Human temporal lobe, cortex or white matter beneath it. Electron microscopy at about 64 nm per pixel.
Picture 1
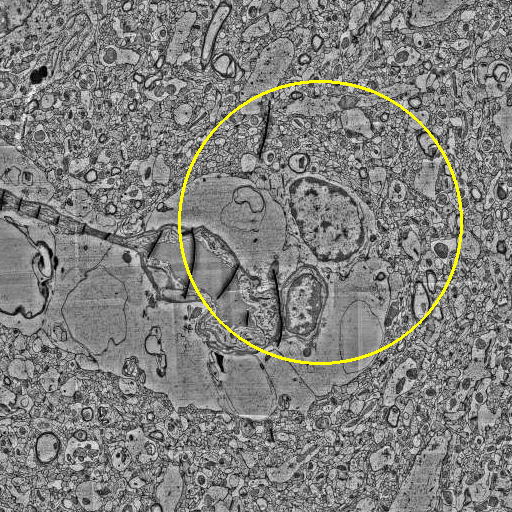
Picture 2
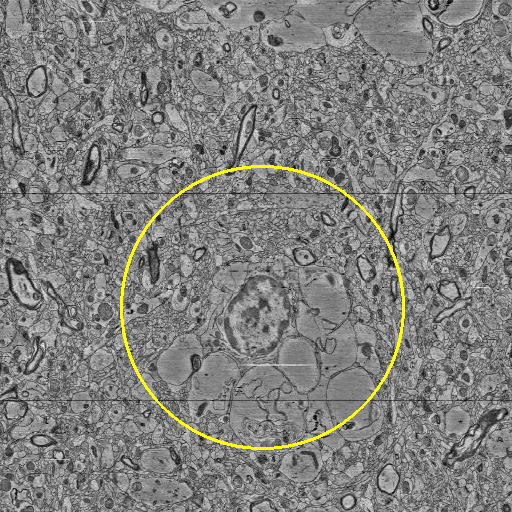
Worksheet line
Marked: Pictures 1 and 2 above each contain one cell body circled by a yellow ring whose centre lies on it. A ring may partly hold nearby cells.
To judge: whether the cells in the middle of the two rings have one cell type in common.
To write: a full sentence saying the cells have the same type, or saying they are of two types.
The cells in the middle of the rings in Picture 1 and Picture 2 have the same type.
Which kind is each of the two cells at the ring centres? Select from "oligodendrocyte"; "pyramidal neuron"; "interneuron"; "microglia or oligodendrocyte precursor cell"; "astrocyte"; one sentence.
Each cell at the centre of a ring is a microglial cell or oligodendrocyte precursor cell.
